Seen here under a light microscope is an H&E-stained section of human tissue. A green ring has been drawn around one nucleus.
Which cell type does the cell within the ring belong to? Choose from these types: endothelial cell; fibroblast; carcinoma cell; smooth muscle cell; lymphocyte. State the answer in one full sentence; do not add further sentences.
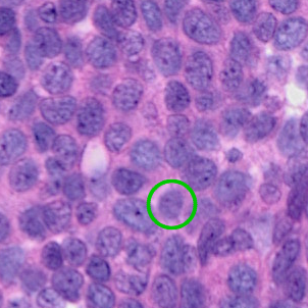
Recorded by type, the cell within the ring is a carcinoma cell.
